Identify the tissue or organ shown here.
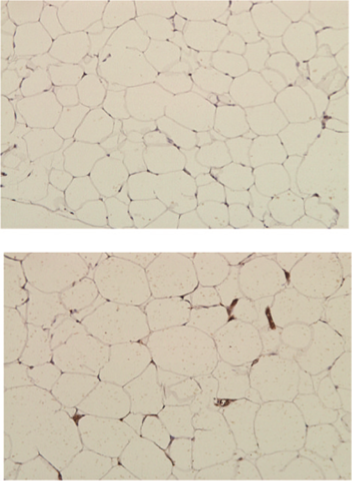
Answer: fat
